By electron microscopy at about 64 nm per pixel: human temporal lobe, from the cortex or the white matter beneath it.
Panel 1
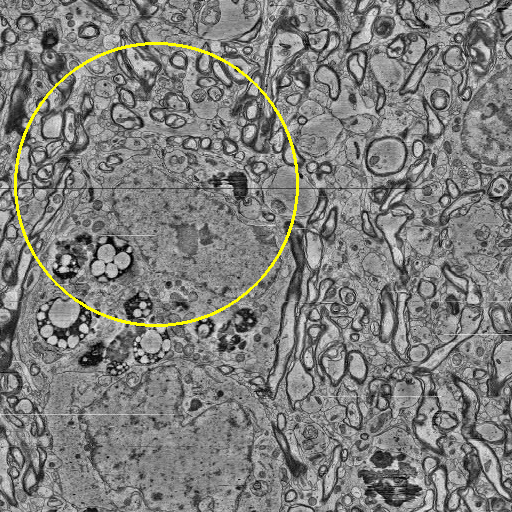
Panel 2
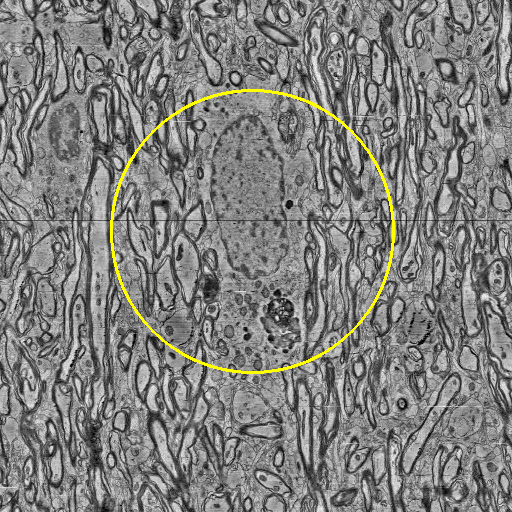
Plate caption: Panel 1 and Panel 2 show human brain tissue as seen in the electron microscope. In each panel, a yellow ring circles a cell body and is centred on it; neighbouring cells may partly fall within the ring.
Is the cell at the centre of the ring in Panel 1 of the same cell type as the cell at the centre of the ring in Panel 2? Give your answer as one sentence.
Yes, the two cells are of the same type.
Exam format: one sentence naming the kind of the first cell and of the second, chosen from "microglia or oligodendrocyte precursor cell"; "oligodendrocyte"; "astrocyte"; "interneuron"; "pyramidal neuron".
The first and the second cell are each an astrocyte.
